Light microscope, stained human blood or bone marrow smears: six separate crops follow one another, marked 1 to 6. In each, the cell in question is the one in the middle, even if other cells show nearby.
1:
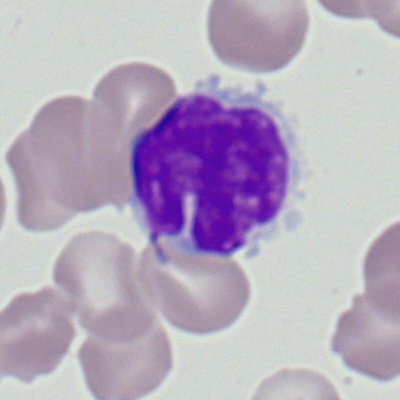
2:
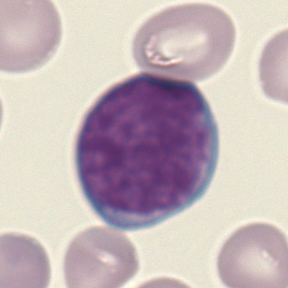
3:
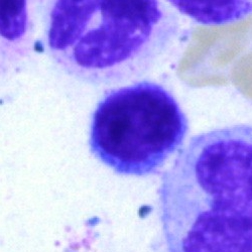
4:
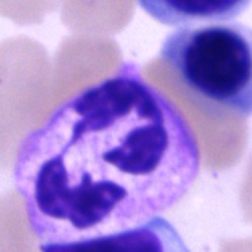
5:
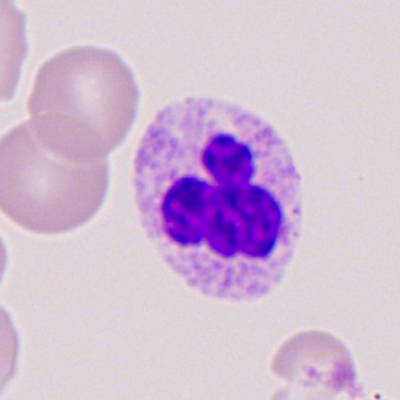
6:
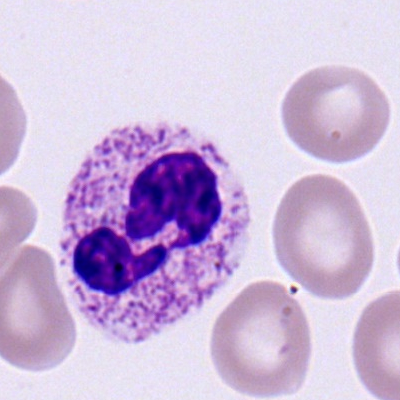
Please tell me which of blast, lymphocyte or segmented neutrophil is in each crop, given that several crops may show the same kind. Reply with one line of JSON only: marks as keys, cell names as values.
{"1": "lymphocyte", "2": "blast", "3": "lymphocyte", "4": "segmented neutrophil", "5": "segmented neutrophil", "6": "segmented neutrophil"}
